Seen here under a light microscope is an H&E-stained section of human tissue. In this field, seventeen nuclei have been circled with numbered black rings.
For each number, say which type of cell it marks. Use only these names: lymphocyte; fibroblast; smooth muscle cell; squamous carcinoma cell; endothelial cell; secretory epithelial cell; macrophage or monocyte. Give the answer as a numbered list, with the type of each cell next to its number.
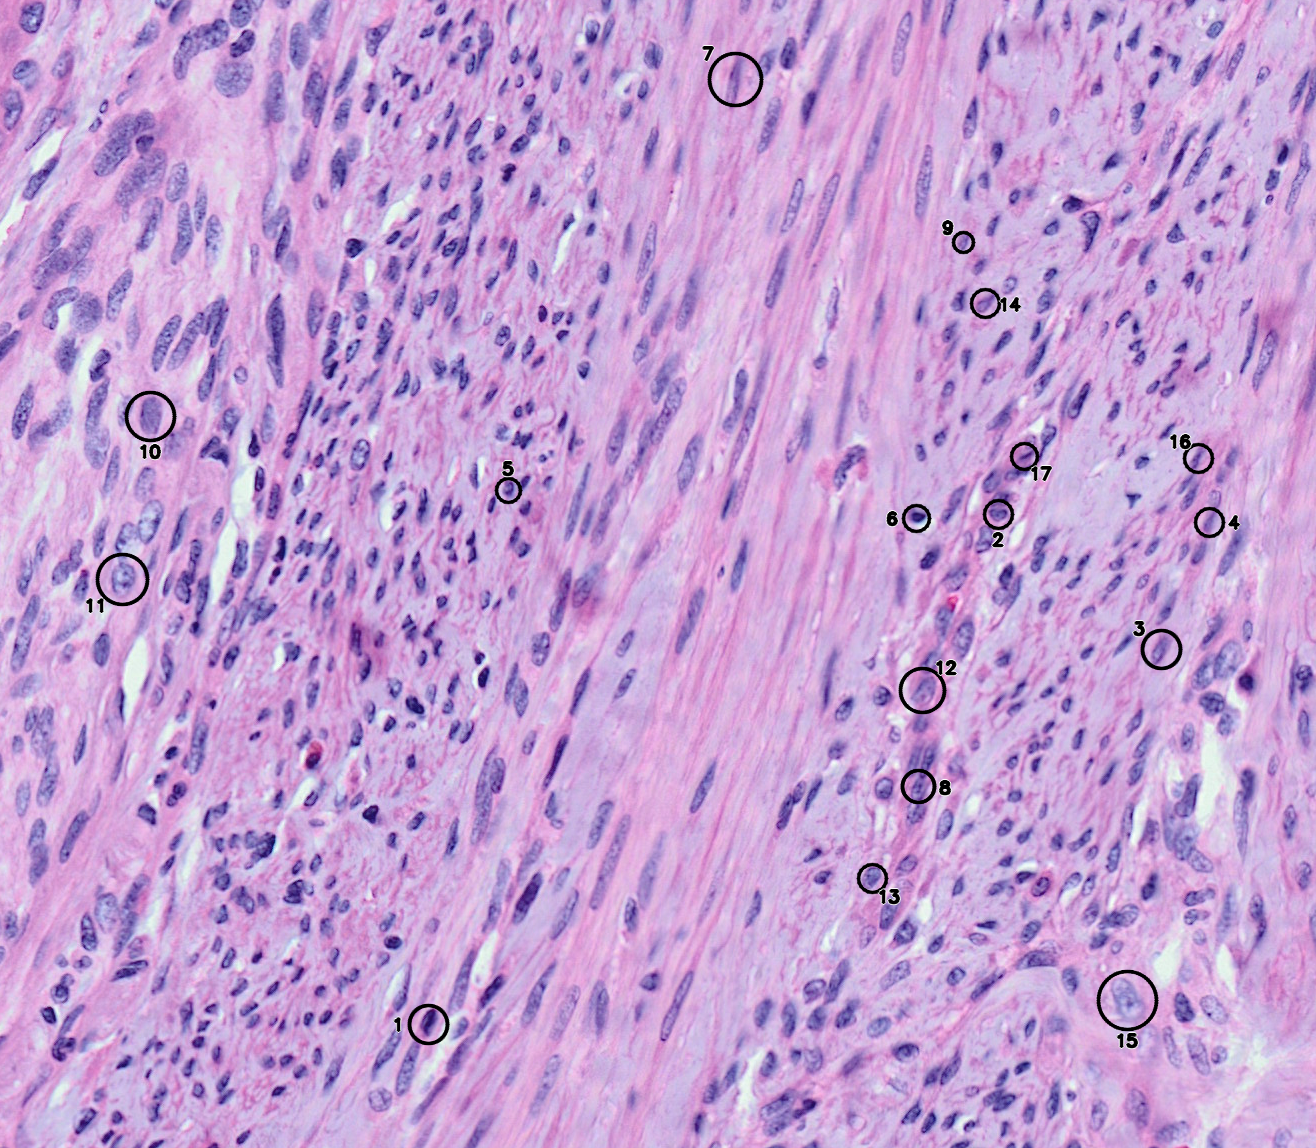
1. lymphocyte
2. endothelial cell
3. smooth muscle cell
4. smooth muscle cell
5. smooth muscle cell
6. lymphocyte
7. smooth muscle cell
8. endothelial cell
9. smooth muscle cell
10. fibroblast
11. endothelial cell
12. endothelial cell
13. smooth muscle cell
14. smooth muscle cell
15. endothelial cell
16. smooth muscle cell
17. endothelial cell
